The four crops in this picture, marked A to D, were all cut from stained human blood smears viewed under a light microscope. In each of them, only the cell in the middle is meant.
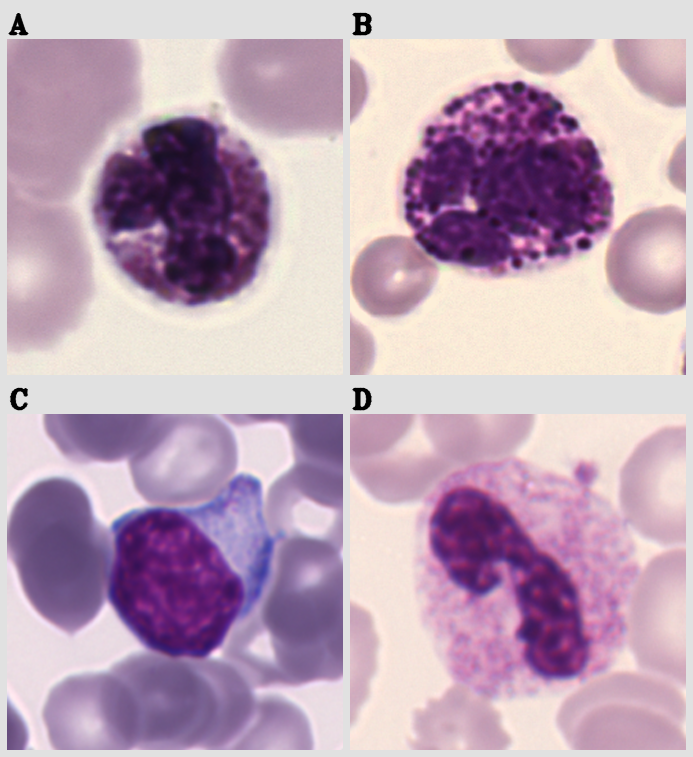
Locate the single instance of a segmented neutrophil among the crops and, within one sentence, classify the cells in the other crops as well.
It is a segmented neutrophil that crop D shows, while crop A is an eosinophil, crop B is a basophil and crop C is a typical lymphocyte.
